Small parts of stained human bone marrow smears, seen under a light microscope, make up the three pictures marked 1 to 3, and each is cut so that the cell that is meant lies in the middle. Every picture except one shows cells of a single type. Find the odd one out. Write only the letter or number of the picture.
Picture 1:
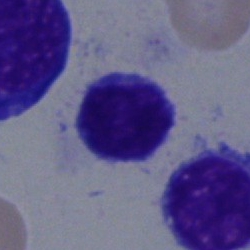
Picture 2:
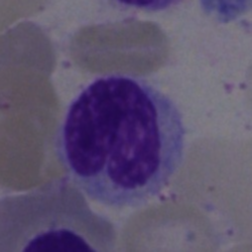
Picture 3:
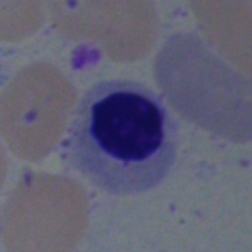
3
